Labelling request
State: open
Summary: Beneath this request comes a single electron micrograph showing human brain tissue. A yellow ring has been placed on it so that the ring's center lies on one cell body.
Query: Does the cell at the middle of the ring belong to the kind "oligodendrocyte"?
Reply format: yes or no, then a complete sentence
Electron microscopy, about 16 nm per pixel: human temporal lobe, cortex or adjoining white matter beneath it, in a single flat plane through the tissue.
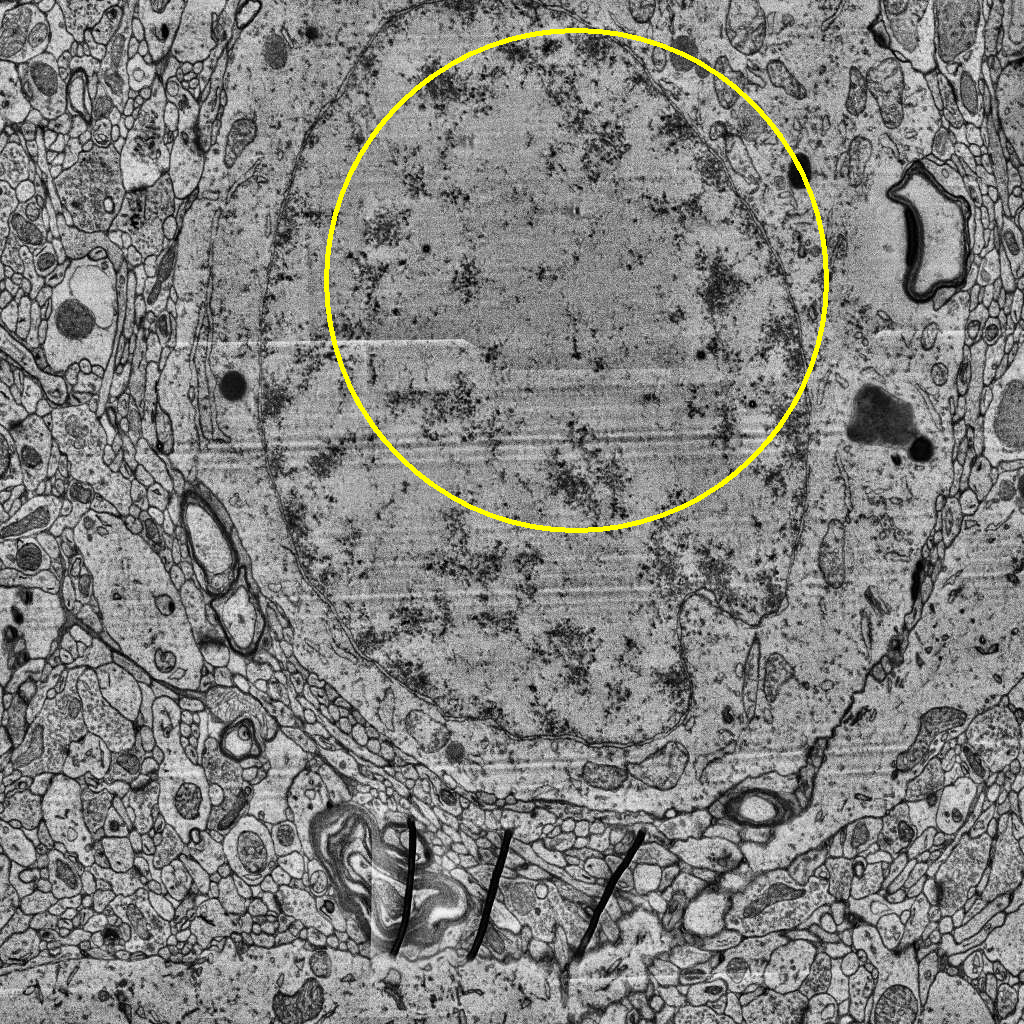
No, the cell sitting at the center of the ring in this picture is of a different kind.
